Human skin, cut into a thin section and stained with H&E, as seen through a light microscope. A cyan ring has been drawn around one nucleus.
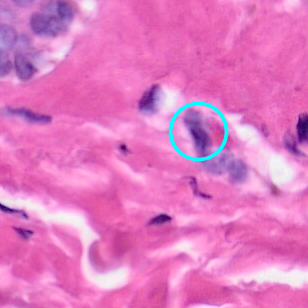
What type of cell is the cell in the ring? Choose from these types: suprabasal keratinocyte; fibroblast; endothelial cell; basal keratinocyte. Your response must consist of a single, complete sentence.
Students should answer that the cell in the ring is an endothelial cell.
